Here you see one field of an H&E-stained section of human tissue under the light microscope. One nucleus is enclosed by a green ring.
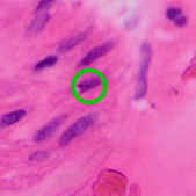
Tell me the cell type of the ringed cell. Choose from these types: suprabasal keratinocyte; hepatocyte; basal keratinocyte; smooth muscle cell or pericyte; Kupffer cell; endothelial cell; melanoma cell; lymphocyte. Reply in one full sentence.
As for its identity, the ringed cell is a smooth muscle cell or pericyte.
